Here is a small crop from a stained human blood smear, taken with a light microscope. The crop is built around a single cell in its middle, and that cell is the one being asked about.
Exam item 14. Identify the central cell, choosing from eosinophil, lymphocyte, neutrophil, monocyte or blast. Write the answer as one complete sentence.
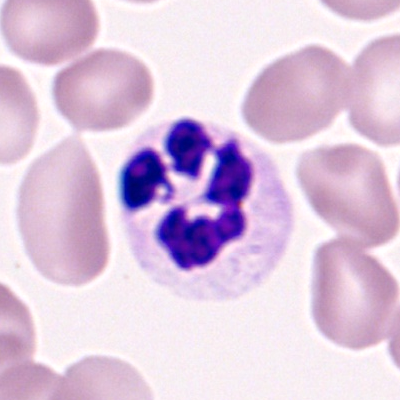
Located at the centre of the crop is a neutrophil.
